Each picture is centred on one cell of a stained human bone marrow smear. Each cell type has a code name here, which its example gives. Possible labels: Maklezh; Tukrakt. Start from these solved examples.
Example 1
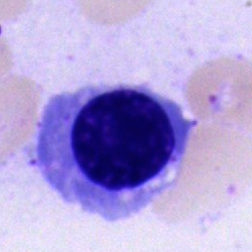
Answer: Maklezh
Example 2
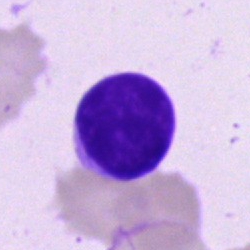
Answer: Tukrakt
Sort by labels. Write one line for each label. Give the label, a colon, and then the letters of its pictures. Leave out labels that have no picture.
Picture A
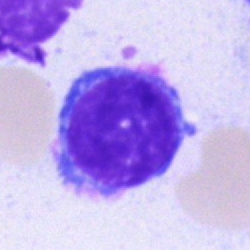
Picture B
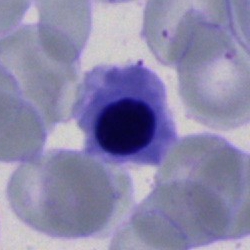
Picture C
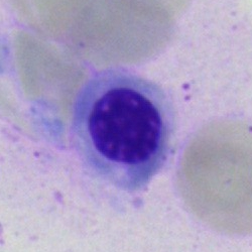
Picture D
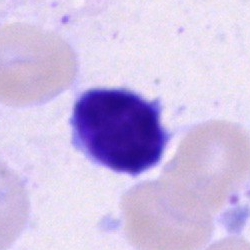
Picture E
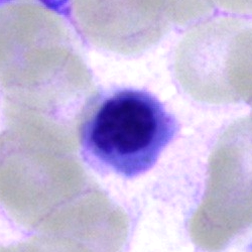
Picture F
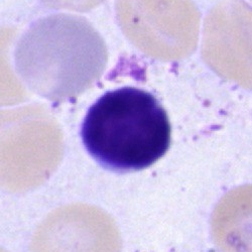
Maklezh: B, C, E
Tukrakt: A, D, F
